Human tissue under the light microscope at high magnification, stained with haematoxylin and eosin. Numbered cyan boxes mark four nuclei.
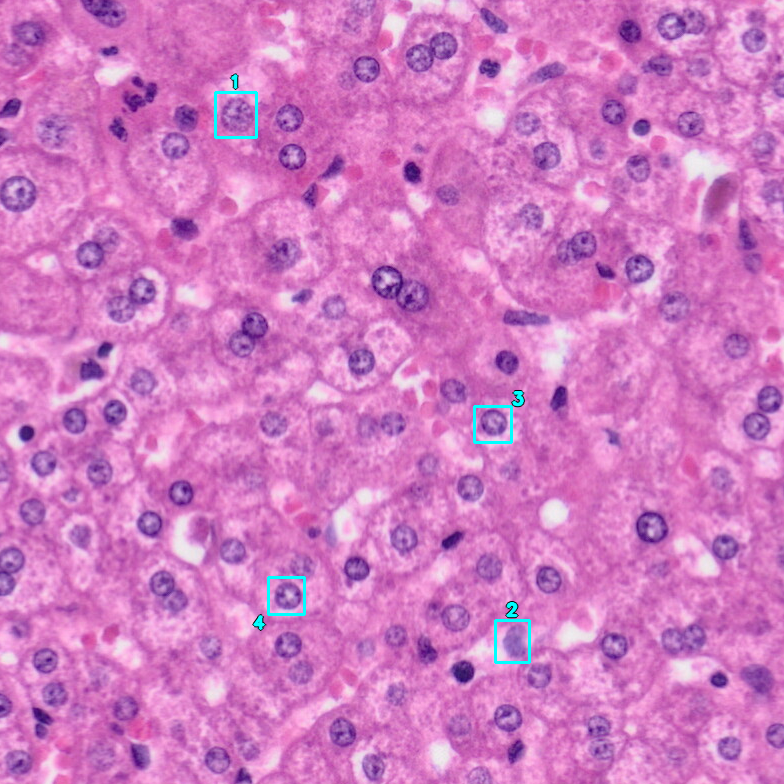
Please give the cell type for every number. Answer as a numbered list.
1. hepatocyte
2. endothelial cell
3. hepatocyte
4. hepatocyte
